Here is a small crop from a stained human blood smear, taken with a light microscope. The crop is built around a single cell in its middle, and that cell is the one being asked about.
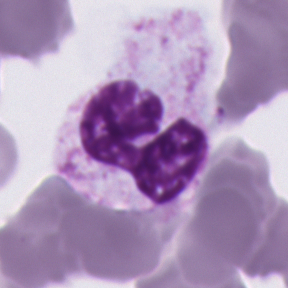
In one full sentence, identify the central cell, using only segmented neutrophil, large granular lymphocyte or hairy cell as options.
At the crop's centre, the cell is a segmented neutrophil.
